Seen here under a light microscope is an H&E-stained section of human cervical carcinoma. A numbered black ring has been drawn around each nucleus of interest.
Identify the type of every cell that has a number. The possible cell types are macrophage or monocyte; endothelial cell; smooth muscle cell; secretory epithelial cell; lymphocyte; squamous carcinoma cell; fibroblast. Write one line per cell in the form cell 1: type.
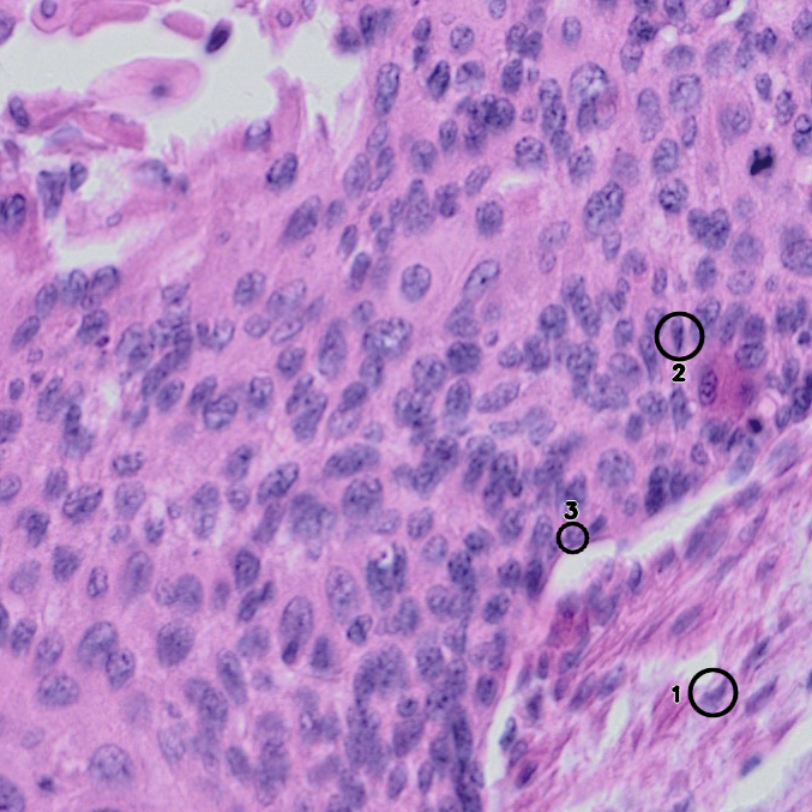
cell 1: fibroblast
cell 2: squamous carcinoma cell
cell 3: squamous carcinoma cell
